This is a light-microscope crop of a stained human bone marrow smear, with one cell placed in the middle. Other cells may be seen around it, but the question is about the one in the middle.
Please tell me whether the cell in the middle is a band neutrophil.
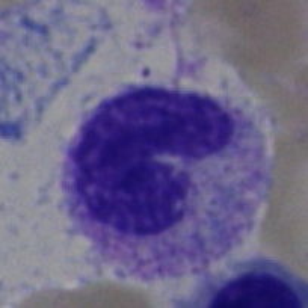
yes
